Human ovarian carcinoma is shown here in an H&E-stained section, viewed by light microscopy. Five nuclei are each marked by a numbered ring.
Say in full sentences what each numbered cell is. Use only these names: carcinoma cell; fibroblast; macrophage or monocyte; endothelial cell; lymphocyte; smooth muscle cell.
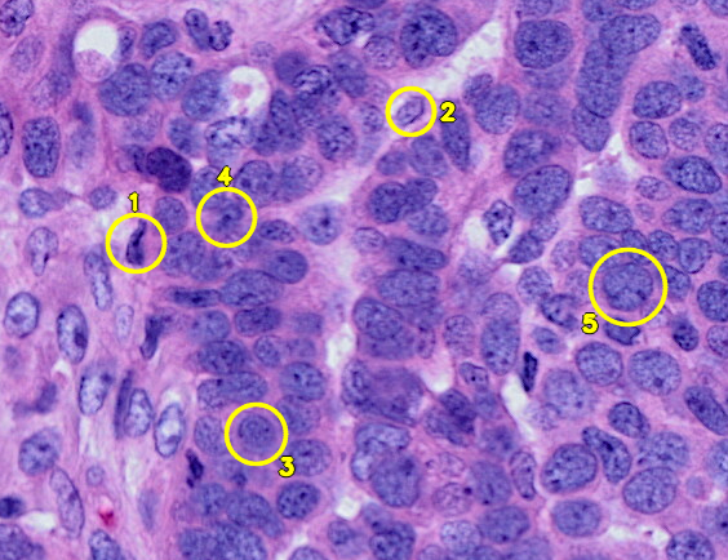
Cell 1 is a macrophage or monocyte, cell 2 is a macrophage or monocyte, cell 3 is a carcinoma cell, cell 4 is a carcinoma cell and cell 5 is a carcinoma cell.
